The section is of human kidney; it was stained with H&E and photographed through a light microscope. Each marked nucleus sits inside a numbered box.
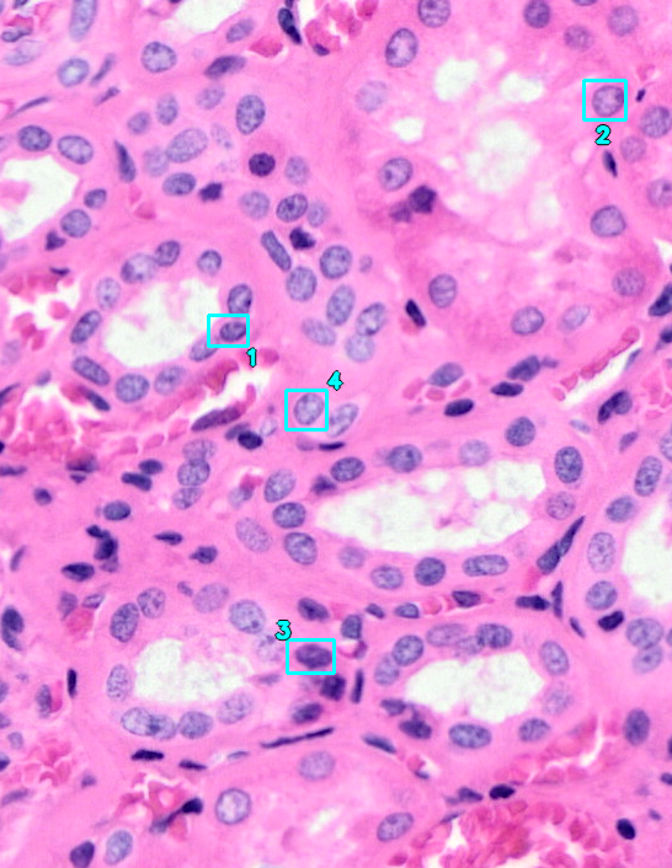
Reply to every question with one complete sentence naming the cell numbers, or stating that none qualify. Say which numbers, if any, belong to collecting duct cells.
Cells 1, 3 and 4 are of one type, namely collecting duct cells.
